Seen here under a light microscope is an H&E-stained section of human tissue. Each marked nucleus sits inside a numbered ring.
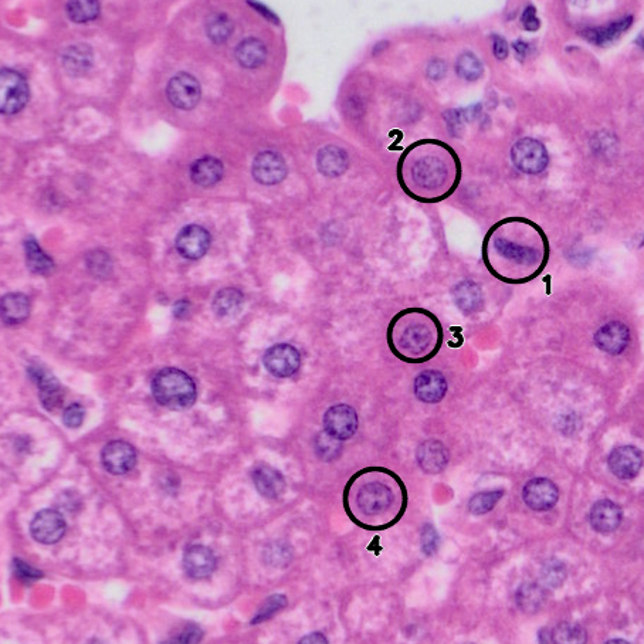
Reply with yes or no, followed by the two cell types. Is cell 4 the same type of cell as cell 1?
No, cell 4 is a hepatocyte, with cell 1 being a fibroblast or stellate cell.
